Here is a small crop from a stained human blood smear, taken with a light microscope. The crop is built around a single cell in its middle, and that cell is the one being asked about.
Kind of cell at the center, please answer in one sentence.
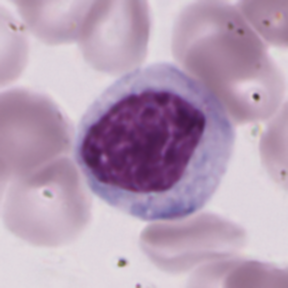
The central cell, amid any neighbouring cells, is a metamyelocyte.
